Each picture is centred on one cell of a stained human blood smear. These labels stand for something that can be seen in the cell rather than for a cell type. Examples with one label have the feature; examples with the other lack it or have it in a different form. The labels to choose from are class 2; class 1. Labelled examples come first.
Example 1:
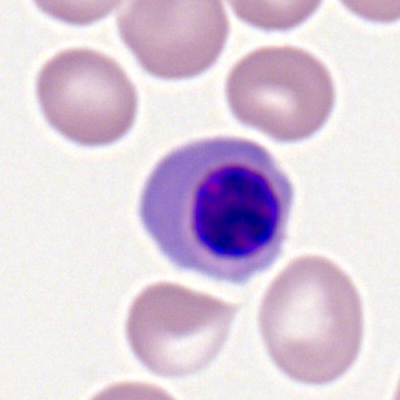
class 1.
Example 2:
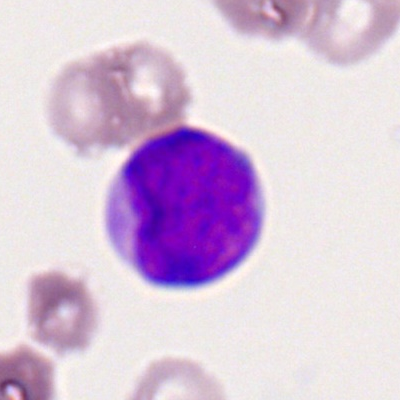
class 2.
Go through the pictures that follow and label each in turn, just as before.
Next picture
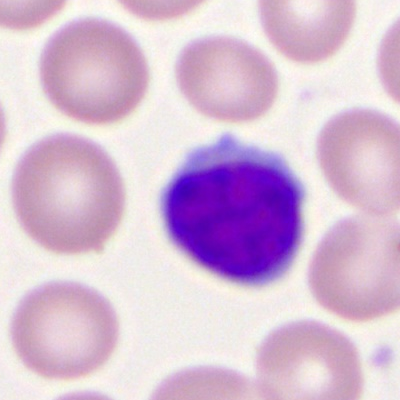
class 2.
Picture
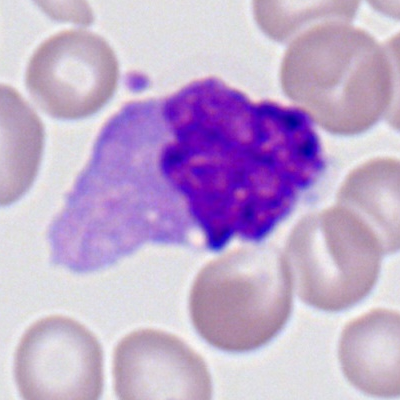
class 1.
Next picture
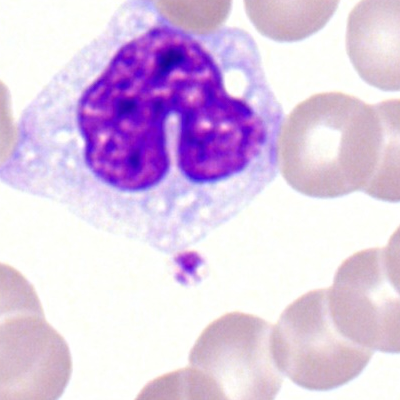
class 1.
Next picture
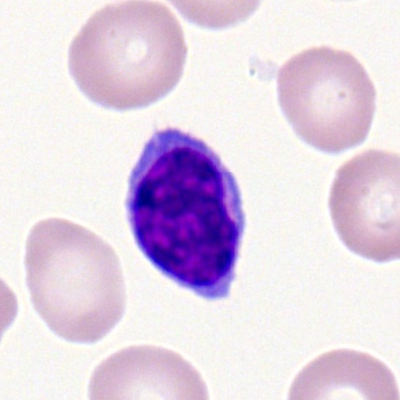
class 2.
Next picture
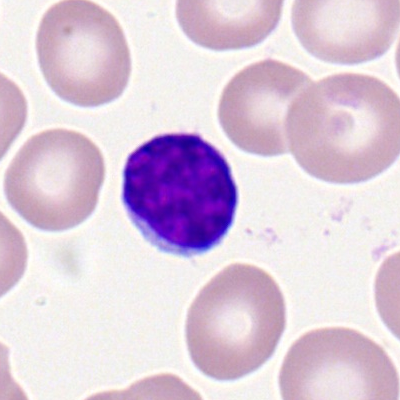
class 2.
